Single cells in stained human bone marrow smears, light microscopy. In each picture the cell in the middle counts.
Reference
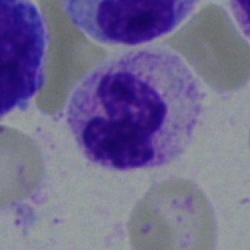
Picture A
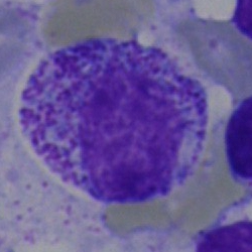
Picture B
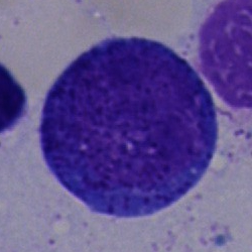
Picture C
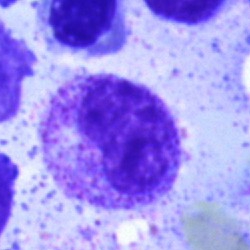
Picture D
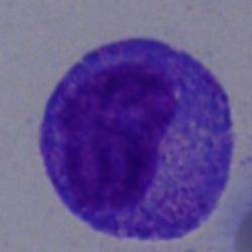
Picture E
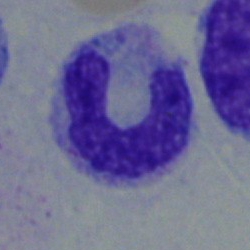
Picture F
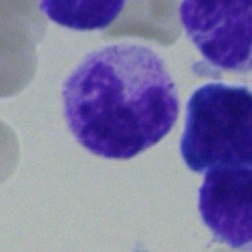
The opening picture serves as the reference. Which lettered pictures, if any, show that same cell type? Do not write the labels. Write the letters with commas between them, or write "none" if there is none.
E, F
